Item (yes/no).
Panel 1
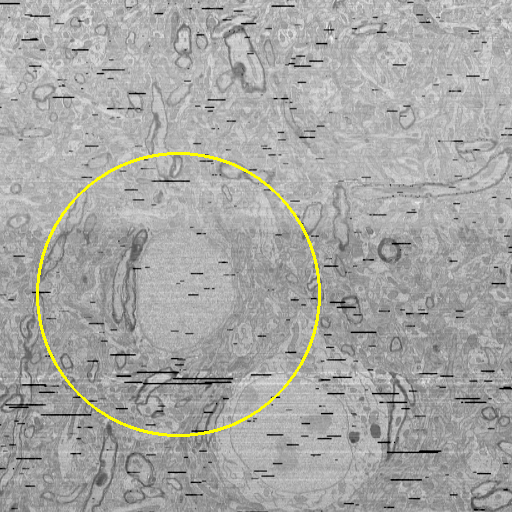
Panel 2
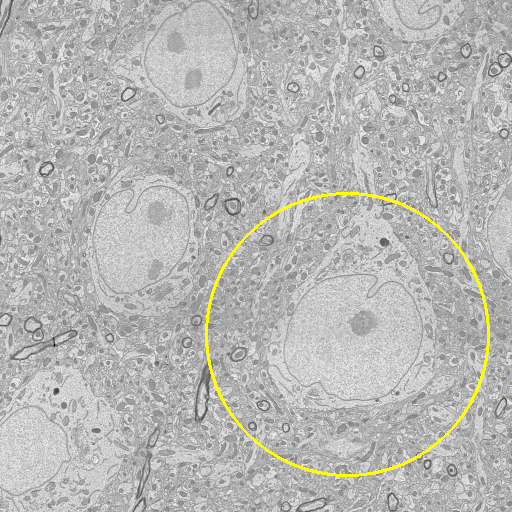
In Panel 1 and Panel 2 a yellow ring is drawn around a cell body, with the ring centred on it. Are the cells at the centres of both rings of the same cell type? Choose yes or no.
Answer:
no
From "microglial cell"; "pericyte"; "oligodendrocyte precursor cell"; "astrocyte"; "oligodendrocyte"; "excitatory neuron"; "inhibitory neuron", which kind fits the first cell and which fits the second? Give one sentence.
The cell marked in the first picture is an astrocyte, and the one marked in the second is an excitatory neuron.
